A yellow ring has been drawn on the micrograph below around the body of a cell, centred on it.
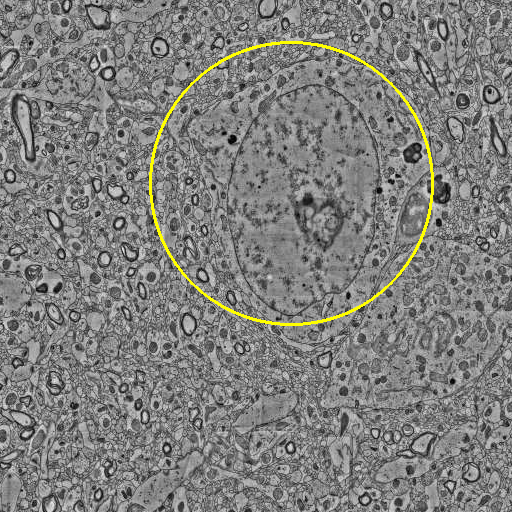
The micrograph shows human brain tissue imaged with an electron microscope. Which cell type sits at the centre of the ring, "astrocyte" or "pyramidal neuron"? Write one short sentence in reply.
The cell sitting at the centre of the ring is a pyramidal neuron.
